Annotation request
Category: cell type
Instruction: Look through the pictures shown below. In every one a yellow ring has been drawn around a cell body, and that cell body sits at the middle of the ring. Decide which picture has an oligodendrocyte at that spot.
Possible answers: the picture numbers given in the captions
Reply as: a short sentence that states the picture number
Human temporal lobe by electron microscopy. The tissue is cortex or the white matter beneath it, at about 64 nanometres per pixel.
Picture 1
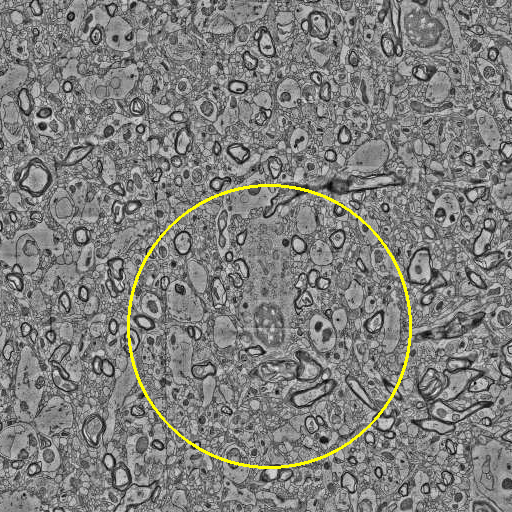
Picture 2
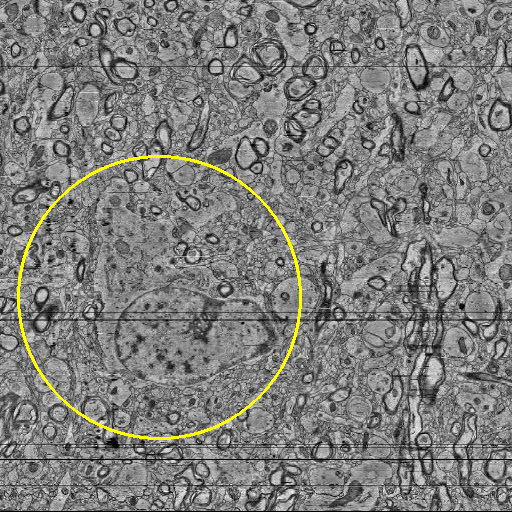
It is in Picture 1.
